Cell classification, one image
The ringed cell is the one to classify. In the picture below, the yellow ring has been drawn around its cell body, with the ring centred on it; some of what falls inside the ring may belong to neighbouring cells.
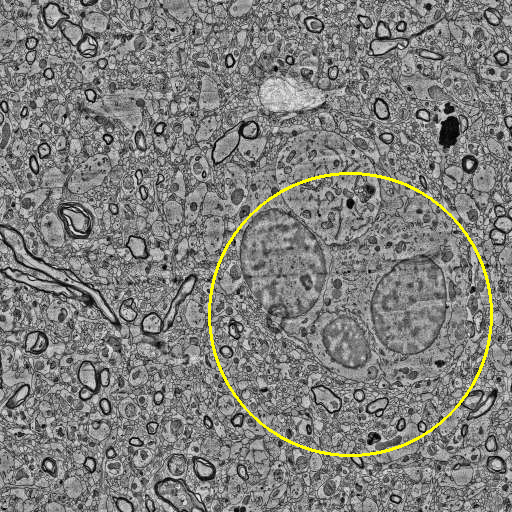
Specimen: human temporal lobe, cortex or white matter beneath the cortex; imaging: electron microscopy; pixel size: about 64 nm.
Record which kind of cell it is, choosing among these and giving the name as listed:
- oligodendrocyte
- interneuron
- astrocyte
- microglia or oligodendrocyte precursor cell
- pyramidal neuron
oligodendrocyte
